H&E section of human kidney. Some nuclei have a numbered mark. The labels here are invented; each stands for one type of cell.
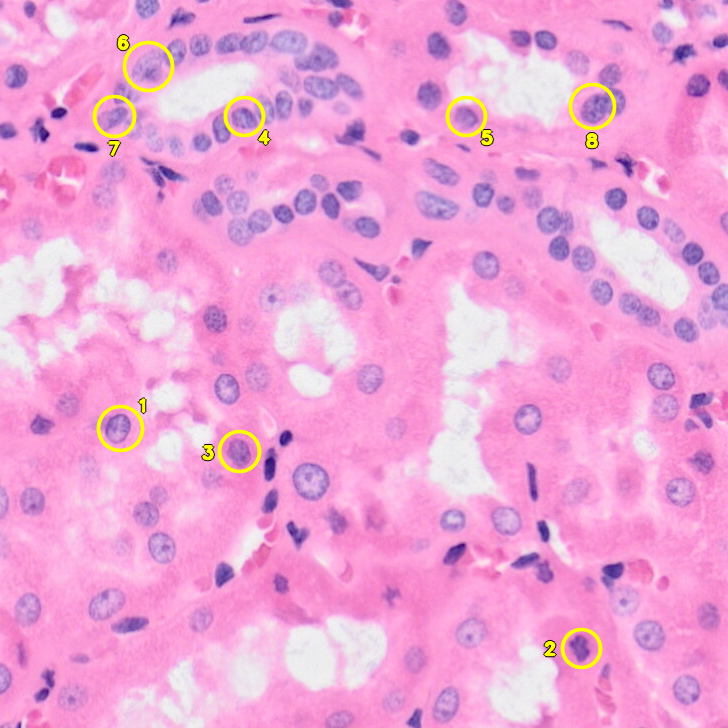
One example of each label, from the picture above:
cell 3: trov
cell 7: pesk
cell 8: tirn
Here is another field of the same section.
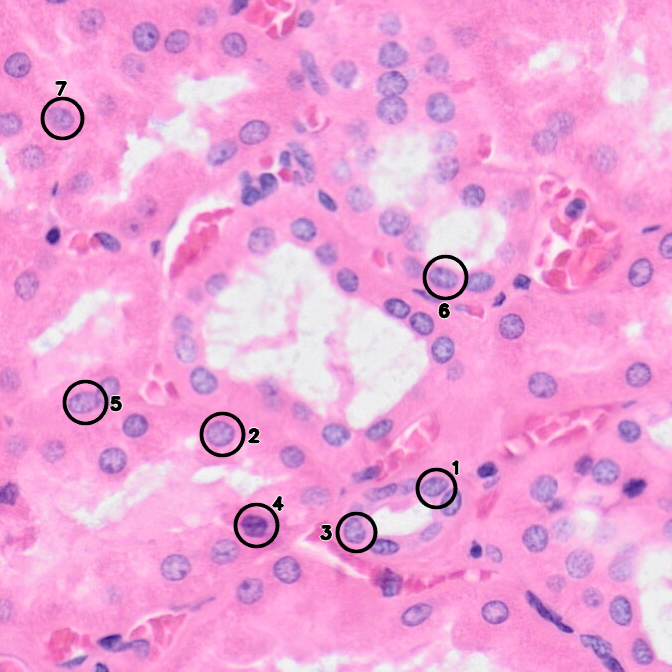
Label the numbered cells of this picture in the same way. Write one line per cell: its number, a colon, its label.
1: pesk
2: trov
3: pesk
4: trov
5: trov
6: tirn
7: trov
